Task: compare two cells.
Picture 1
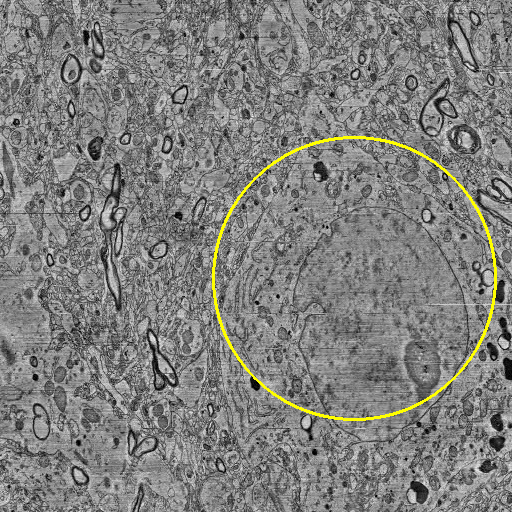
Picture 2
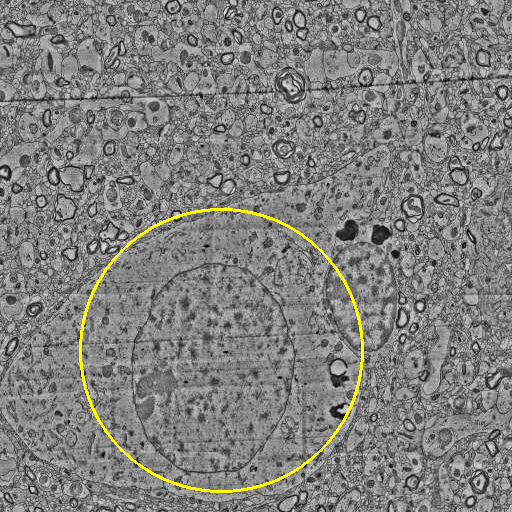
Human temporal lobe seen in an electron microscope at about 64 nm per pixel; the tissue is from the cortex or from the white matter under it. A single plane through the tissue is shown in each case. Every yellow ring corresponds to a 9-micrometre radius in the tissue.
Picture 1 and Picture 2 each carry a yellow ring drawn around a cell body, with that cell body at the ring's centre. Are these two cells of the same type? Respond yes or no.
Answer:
yes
